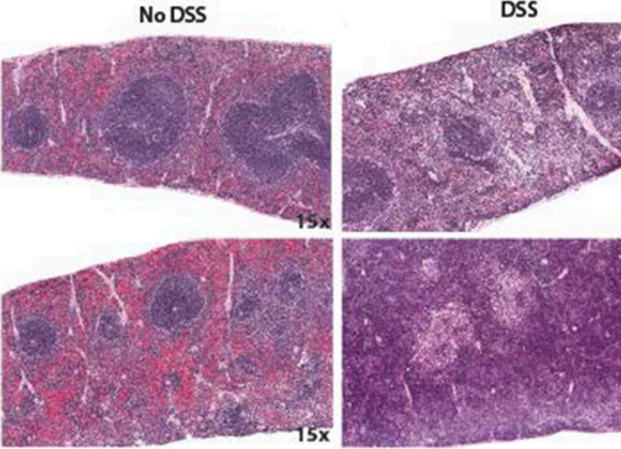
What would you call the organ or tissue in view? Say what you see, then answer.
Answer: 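Round dark-purple lymphoid nodules set in a pink-red, cell-rich background. Thin pale strands cross the tissue between the nodules.
Answer: spleens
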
